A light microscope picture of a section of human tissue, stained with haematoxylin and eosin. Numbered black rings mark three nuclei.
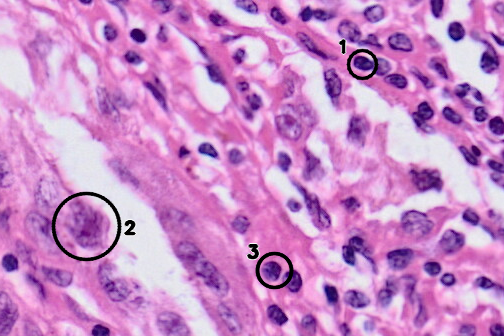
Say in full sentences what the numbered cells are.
Cell 1 is a lymphocyte, cell 2 is a melanoma cell and cell 3 is a lymphocyte.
